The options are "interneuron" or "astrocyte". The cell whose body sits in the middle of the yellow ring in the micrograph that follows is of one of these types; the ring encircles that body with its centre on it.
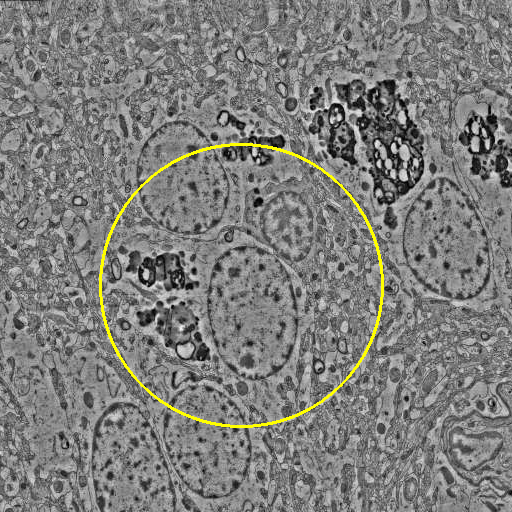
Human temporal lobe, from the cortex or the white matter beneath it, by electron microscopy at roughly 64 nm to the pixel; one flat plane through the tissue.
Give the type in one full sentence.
Going by the micrograph, the cell centred in the yellow ring is an astrocyte.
